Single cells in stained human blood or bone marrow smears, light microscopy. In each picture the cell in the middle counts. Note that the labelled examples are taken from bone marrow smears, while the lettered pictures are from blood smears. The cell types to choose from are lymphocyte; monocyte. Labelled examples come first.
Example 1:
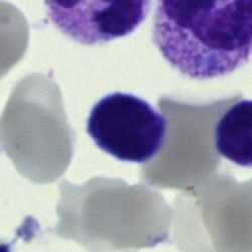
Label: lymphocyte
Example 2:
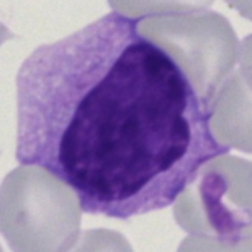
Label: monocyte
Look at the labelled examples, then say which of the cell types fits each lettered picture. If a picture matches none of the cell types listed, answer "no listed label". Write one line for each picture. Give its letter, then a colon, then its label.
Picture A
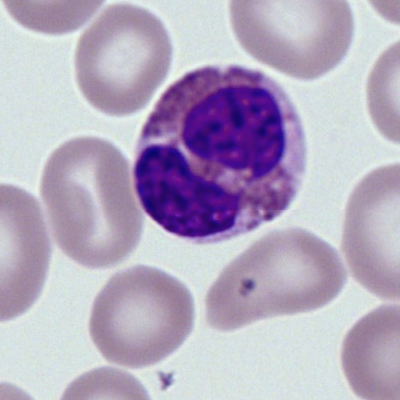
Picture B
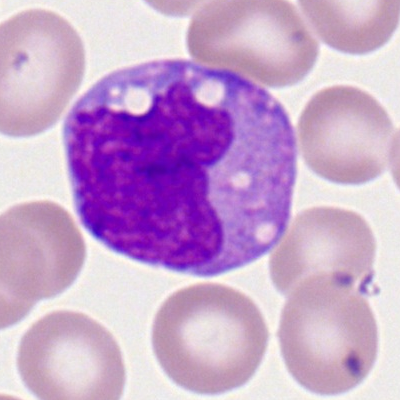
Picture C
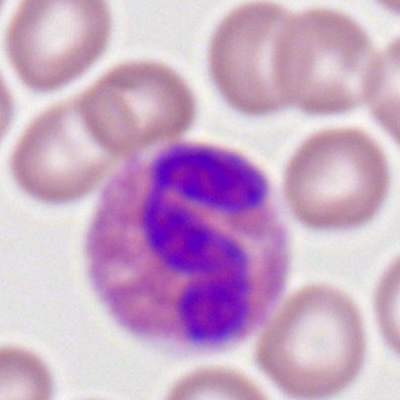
A: no listed label
B: monocyte
C: no listed label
